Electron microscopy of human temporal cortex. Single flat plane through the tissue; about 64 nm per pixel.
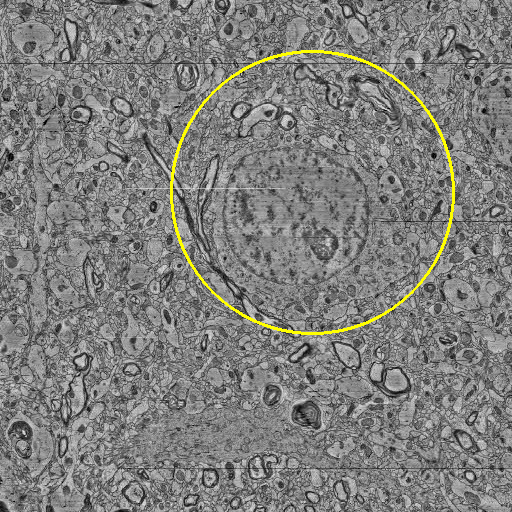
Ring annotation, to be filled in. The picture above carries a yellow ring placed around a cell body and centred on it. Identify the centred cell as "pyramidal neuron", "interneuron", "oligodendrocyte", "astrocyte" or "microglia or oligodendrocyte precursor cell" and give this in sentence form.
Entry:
The cell in the middle of the ring is an interneuron.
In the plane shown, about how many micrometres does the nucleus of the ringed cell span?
About 10 micrometres across in this plane, for the nucleus.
